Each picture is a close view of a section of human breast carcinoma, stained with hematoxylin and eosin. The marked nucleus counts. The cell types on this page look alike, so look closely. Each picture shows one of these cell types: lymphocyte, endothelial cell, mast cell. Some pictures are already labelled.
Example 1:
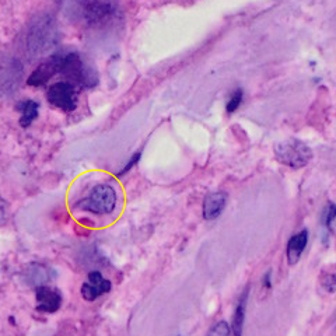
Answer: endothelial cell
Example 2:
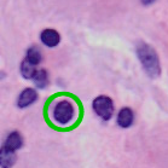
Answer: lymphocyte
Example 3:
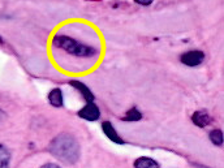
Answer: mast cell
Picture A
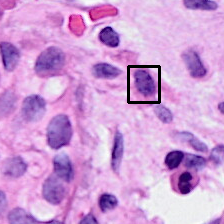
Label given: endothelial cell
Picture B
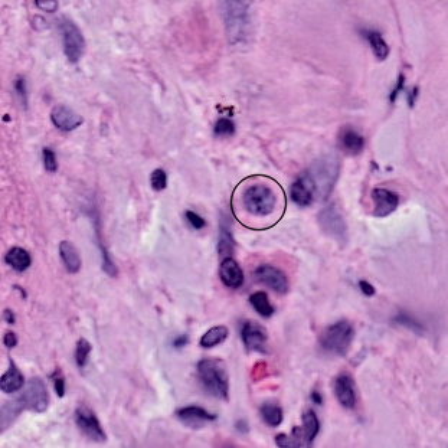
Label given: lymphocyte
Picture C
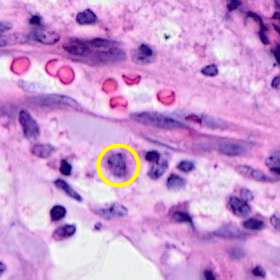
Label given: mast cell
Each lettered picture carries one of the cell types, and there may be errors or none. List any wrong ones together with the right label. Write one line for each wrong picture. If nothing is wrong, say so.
A is labelled endothelial cell; correct label: mast cell
B is labelled lymphocyte; correct label: mast cell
